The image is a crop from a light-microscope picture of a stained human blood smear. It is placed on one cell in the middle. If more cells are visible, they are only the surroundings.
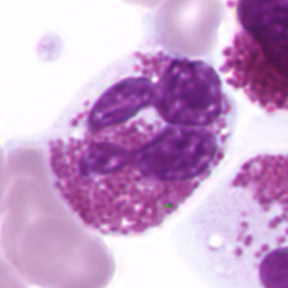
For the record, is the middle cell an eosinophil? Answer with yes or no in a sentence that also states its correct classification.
Yes, an eosinophil is present in the middle of the crop.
